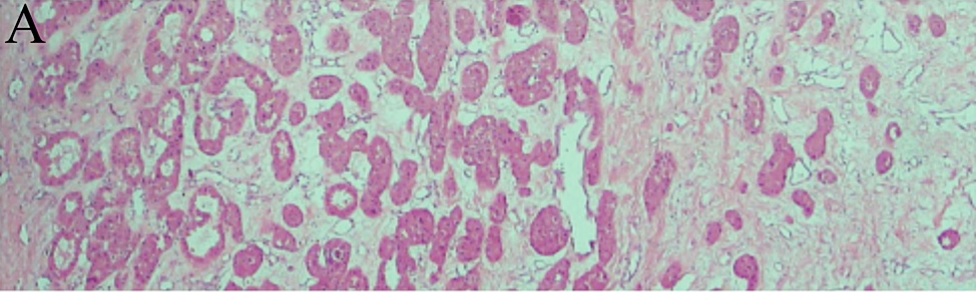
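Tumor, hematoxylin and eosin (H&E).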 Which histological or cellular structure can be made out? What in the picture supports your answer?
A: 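Many small rounded and elongated groups of pink cells lie scattered in pale loose stroma. Groups become sparser toward the right side.
Hence: small islands.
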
